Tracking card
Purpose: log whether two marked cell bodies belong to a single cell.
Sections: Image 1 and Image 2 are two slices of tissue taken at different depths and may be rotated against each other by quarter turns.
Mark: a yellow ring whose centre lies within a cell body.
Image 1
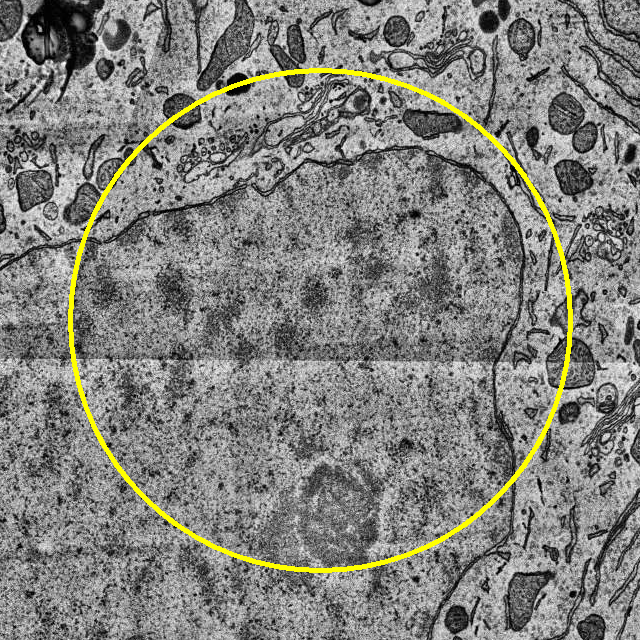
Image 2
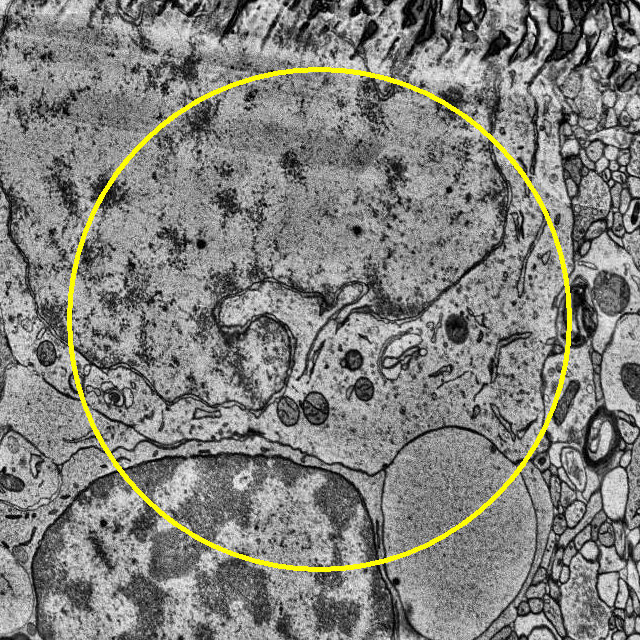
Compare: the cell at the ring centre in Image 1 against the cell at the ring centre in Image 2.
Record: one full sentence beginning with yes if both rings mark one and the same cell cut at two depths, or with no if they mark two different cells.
No, the yellow rings highlight two different cells in the tissue.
